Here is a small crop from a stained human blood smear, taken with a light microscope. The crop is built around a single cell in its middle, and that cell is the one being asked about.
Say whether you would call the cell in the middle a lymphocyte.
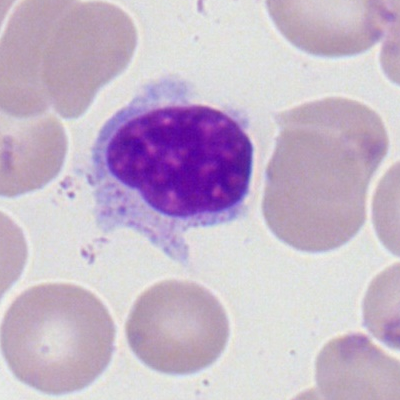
yes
